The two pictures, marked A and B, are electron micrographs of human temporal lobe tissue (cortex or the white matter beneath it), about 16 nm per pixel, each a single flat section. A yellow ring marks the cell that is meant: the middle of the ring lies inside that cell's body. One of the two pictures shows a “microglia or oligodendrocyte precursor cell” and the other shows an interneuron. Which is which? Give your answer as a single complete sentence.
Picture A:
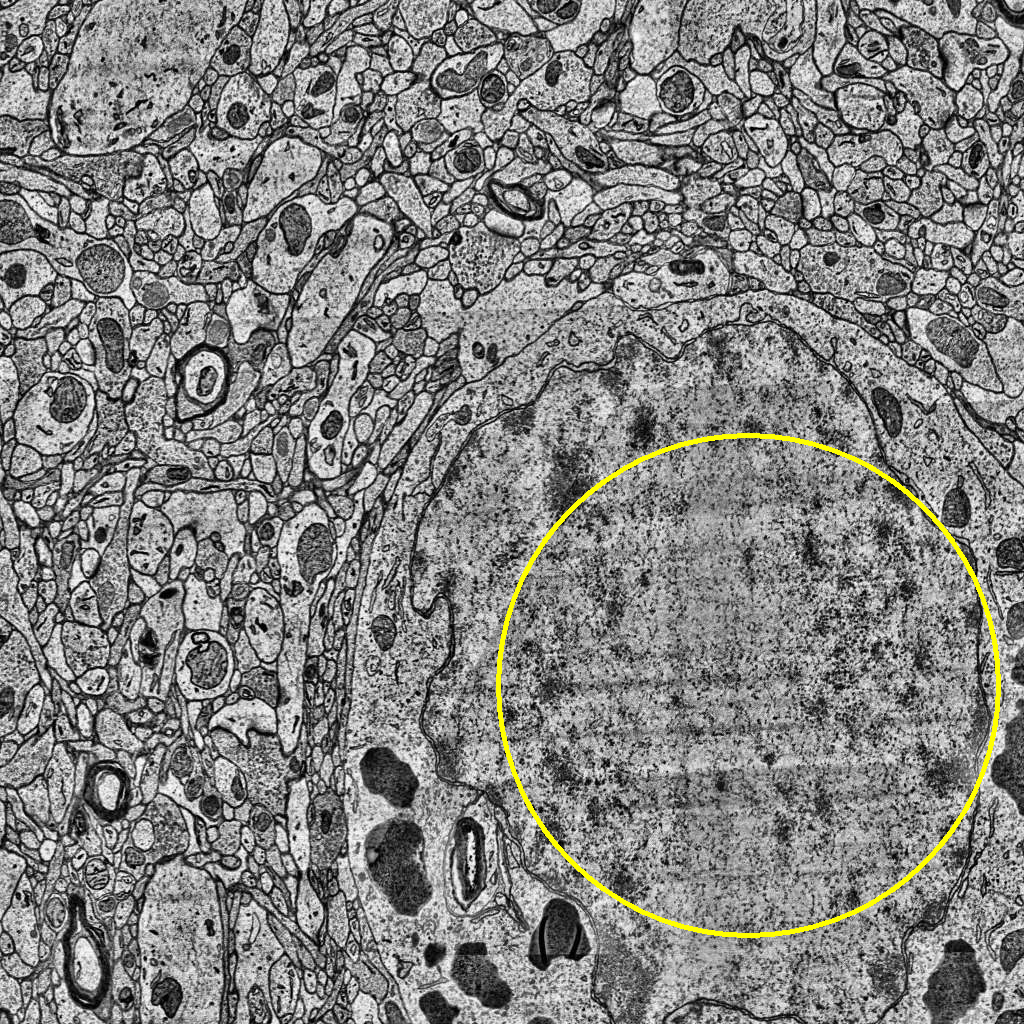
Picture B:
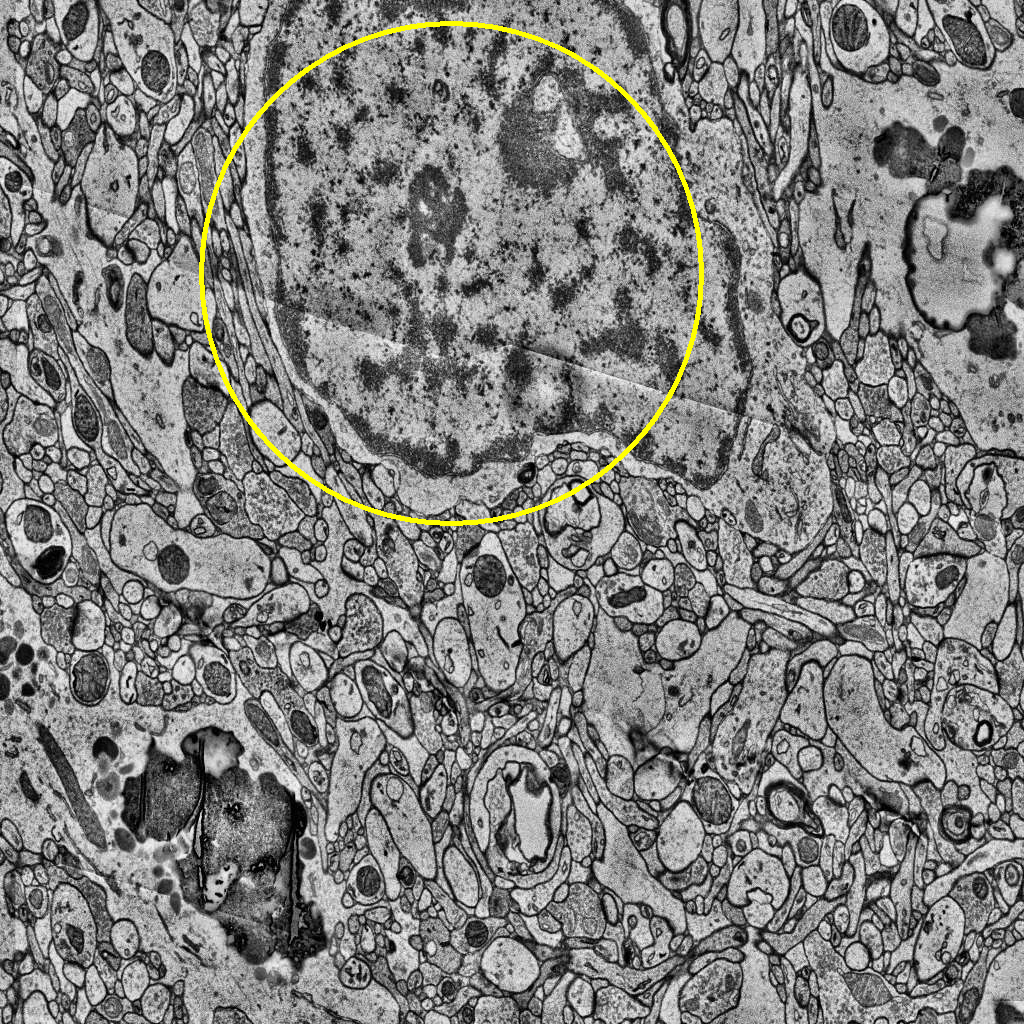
Picture A is of an interneuron, and picture B is of a “microglia or oligodendrocyte precursor cell”.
